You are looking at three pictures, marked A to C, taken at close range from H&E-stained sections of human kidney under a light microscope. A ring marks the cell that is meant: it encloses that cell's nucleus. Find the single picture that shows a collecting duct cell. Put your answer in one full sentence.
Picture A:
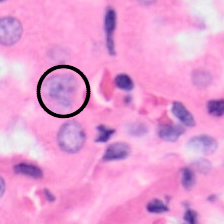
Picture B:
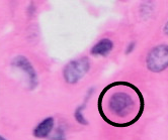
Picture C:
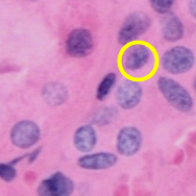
It is picture C that shows the collecting duct cell.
